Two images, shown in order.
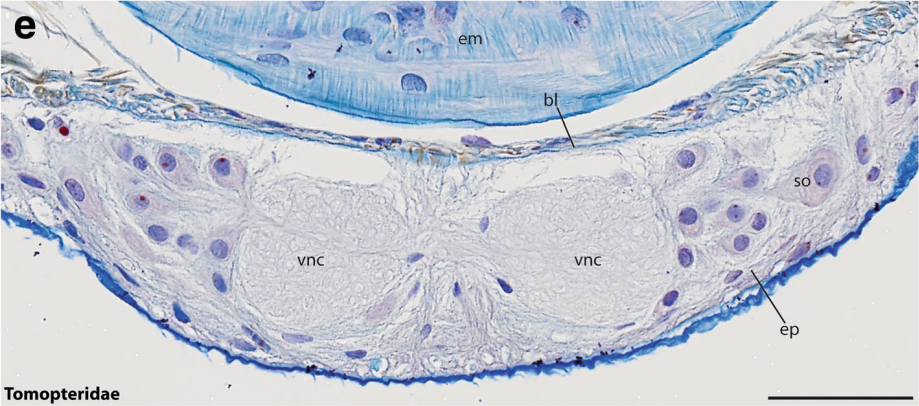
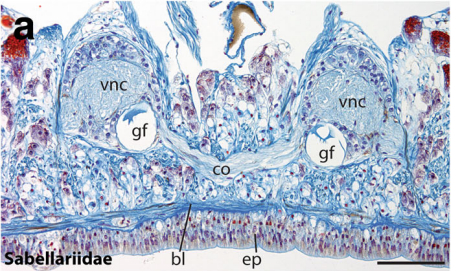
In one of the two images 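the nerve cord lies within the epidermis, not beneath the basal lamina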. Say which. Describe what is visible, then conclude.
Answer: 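The first image. First image: the nerve cord sits between the basal lamina and the outer surface, inside the epidermal layer. Second image: the nerve cords lie above the basal lamina, separated from the epidermis below.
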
